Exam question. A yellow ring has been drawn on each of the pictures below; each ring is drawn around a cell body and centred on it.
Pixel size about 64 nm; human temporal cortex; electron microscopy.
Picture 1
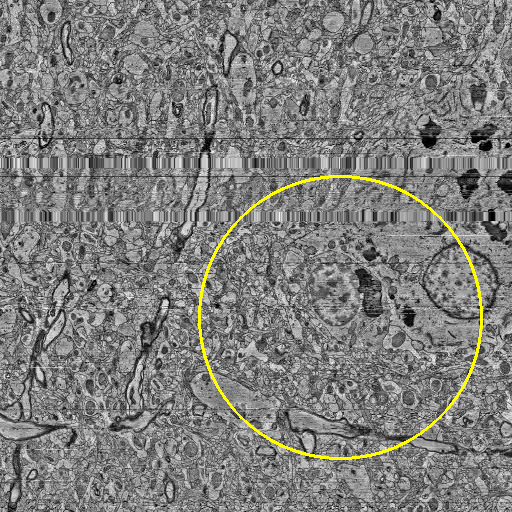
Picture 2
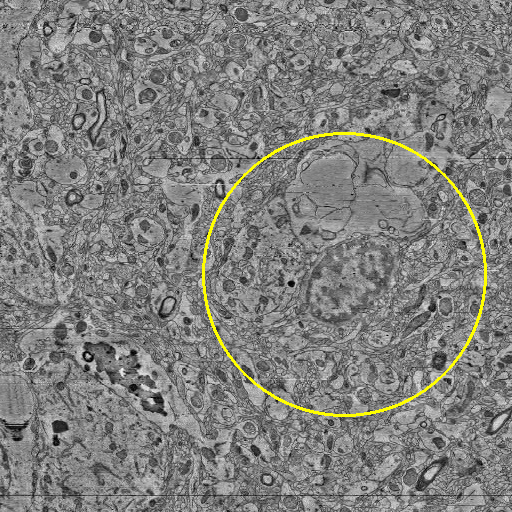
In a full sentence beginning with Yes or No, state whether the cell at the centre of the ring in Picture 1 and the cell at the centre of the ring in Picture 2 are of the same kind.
Yes, the two cells are of the same kind.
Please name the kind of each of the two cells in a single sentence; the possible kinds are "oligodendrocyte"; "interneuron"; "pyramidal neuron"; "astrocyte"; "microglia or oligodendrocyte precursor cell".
Each of the two rings is centred on an oligodendrocyte.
